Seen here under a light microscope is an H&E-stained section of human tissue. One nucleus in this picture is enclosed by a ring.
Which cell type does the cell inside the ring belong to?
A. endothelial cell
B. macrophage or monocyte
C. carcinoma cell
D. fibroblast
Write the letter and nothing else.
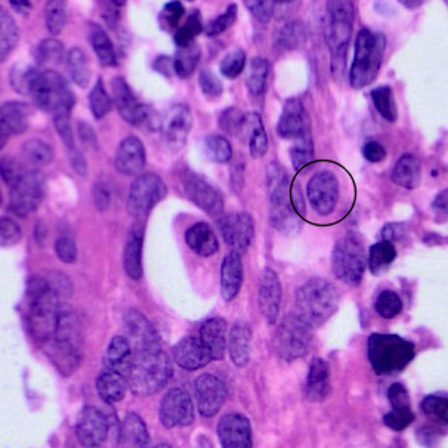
B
